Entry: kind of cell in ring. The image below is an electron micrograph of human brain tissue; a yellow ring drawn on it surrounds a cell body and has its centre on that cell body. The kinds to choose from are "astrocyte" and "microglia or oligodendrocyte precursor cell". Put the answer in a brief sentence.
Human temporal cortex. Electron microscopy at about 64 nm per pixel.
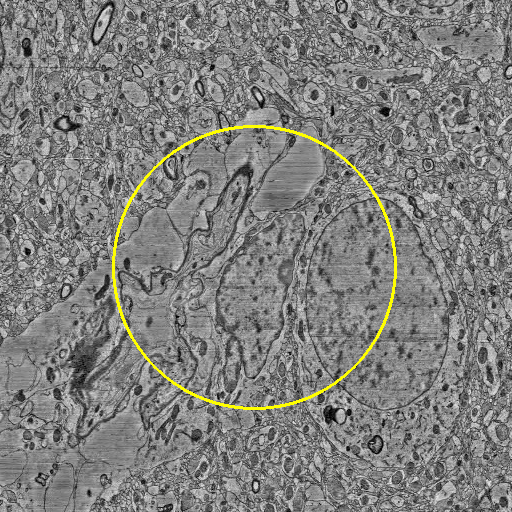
The ring has been drawn around a microglial cell or oligodendrocyte precursor cell.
